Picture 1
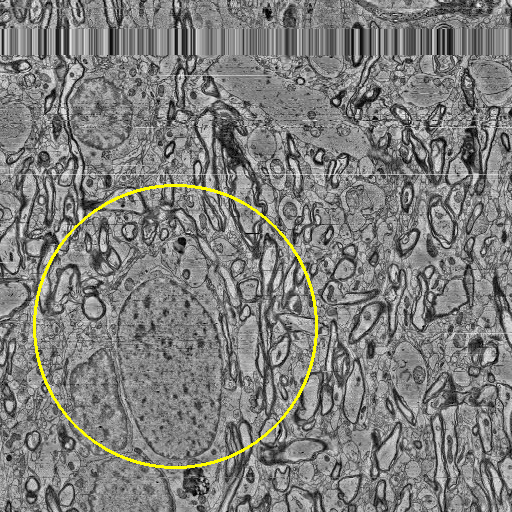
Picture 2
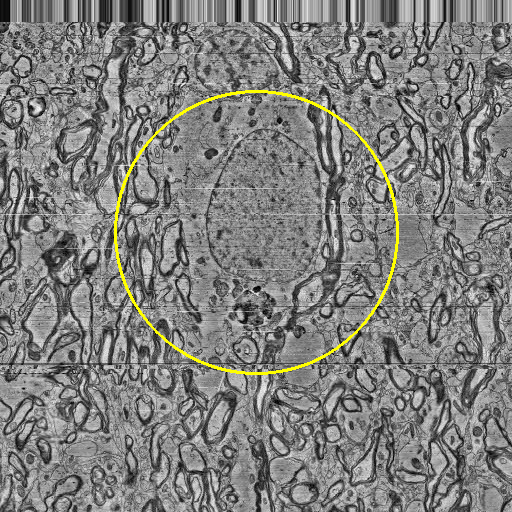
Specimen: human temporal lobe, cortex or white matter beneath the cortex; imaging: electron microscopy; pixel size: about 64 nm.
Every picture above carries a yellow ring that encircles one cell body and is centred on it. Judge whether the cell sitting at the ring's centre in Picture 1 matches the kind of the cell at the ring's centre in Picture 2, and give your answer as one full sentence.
Yes, the cells centred in the rings of Pictures 1 and 2 belong to one kind.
